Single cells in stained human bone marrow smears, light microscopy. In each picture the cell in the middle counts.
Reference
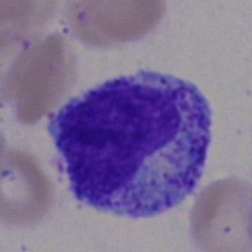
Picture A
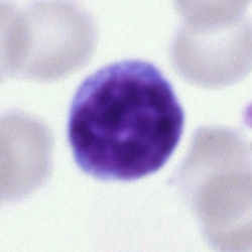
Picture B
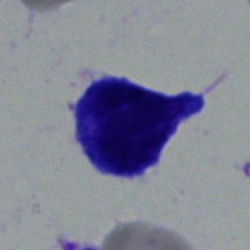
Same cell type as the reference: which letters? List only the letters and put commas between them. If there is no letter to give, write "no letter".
no letter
